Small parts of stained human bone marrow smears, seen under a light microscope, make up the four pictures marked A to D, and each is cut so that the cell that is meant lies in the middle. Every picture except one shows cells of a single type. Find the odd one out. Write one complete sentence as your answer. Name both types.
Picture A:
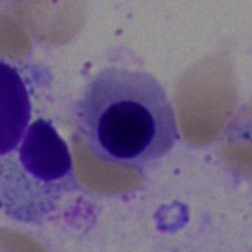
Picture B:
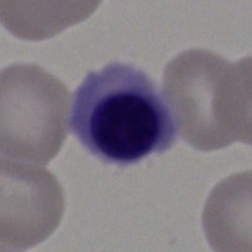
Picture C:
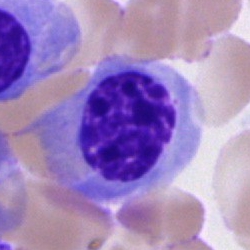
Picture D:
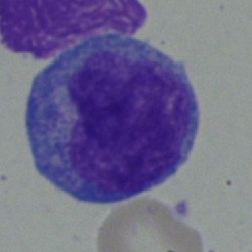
Picture D differs, because its cell is a blast and the rest are erythroblasts.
